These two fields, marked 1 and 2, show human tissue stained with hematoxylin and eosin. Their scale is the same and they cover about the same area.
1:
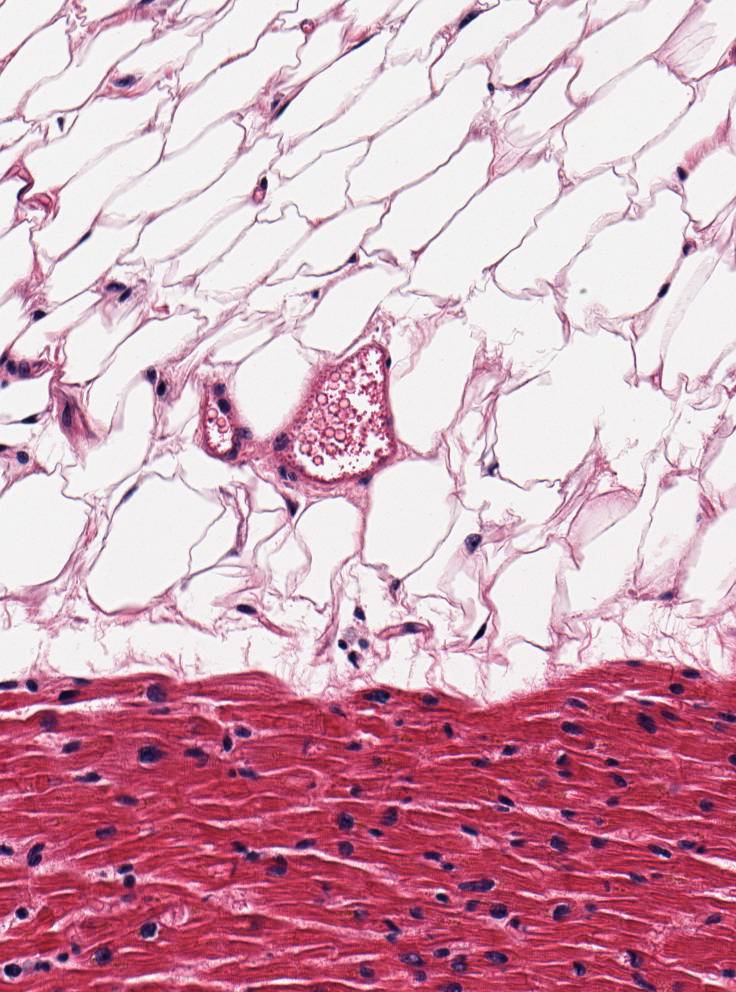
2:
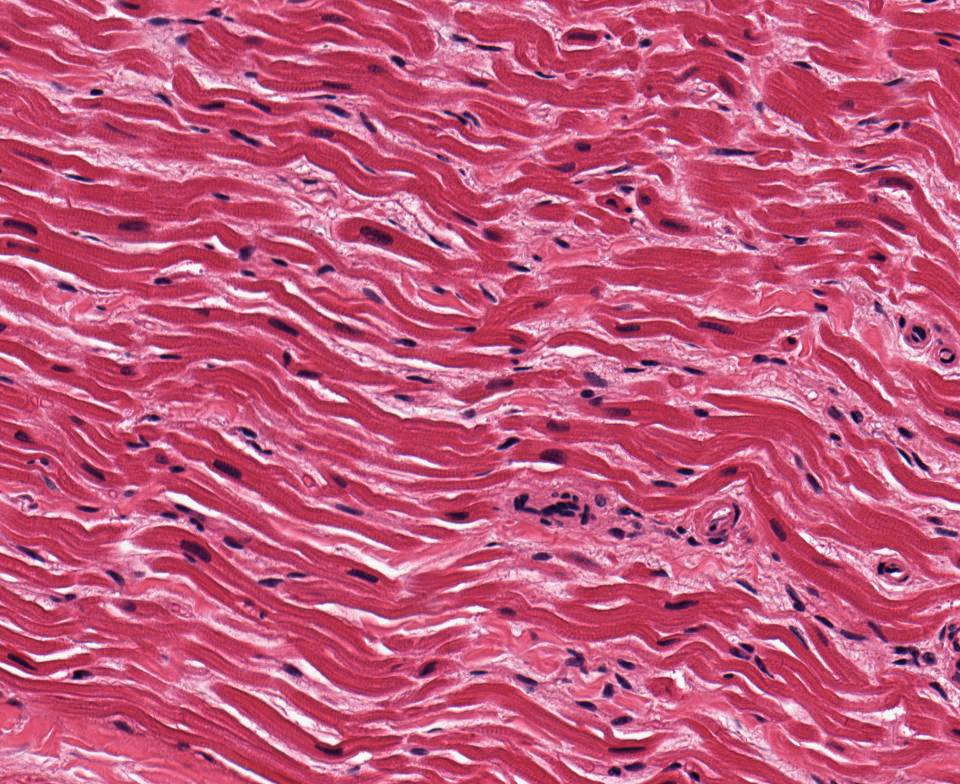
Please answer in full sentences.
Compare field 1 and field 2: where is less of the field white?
Field 2 has less white space.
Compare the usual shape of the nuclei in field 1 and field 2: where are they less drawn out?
It is field 1 whose nuclei are the rounder.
